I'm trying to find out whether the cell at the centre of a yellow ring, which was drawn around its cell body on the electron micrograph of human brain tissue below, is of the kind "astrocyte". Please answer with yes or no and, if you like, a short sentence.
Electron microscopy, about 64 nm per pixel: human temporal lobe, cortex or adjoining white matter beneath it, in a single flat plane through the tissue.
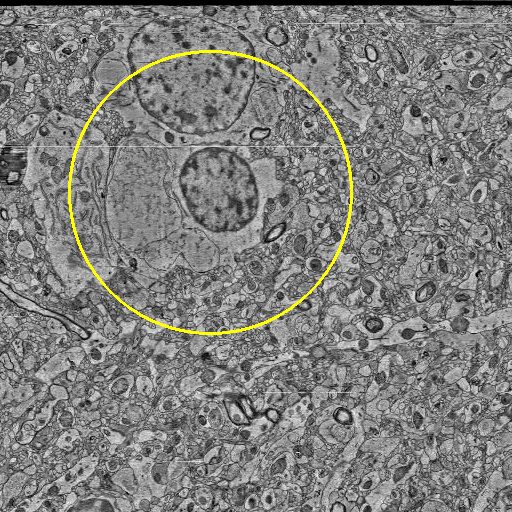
Yes, that cell is of the given kind.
